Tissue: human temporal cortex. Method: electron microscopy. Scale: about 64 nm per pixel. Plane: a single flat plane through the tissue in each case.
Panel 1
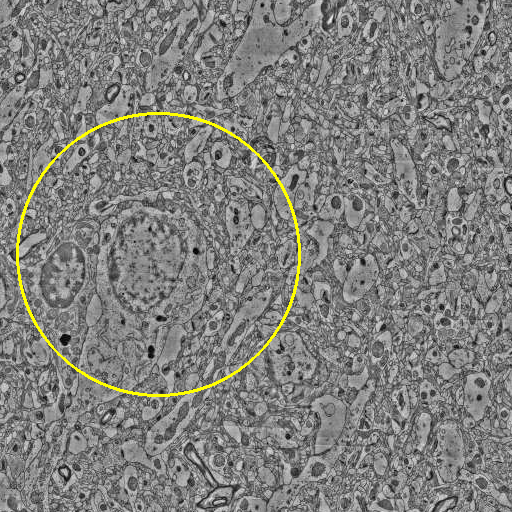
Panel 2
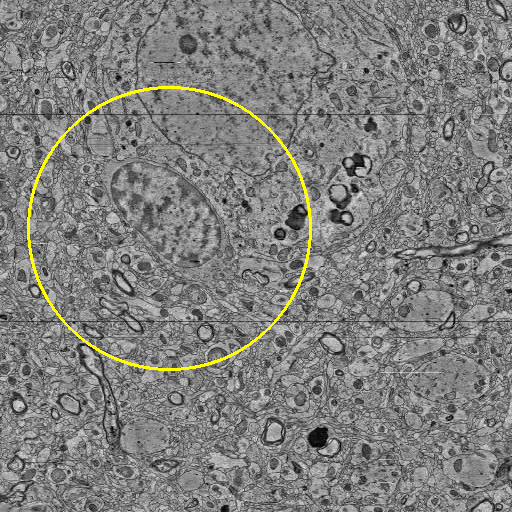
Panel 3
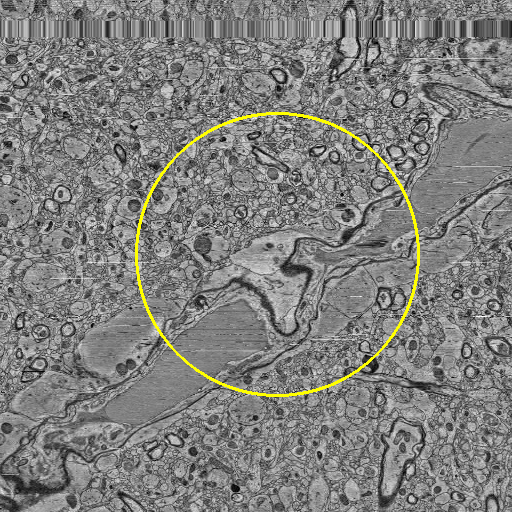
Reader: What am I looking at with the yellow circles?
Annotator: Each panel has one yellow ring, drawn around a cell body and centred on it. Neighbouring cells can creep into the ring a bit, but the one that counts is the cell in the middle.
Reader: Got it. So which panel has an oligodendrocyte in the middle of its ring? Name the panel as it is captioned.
Panel 2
